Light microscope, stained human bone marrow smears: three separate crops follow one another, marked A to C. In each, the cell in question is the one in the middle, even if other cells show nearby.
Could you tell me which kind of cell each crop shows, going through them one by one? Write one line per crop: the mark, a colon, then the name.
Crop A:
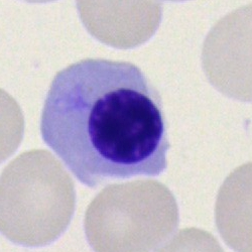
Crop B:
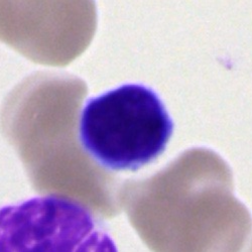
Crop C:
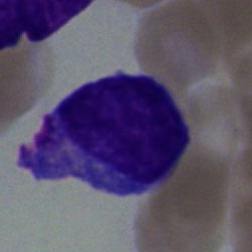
A: normoblast
B: lymphocyte
C: blast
